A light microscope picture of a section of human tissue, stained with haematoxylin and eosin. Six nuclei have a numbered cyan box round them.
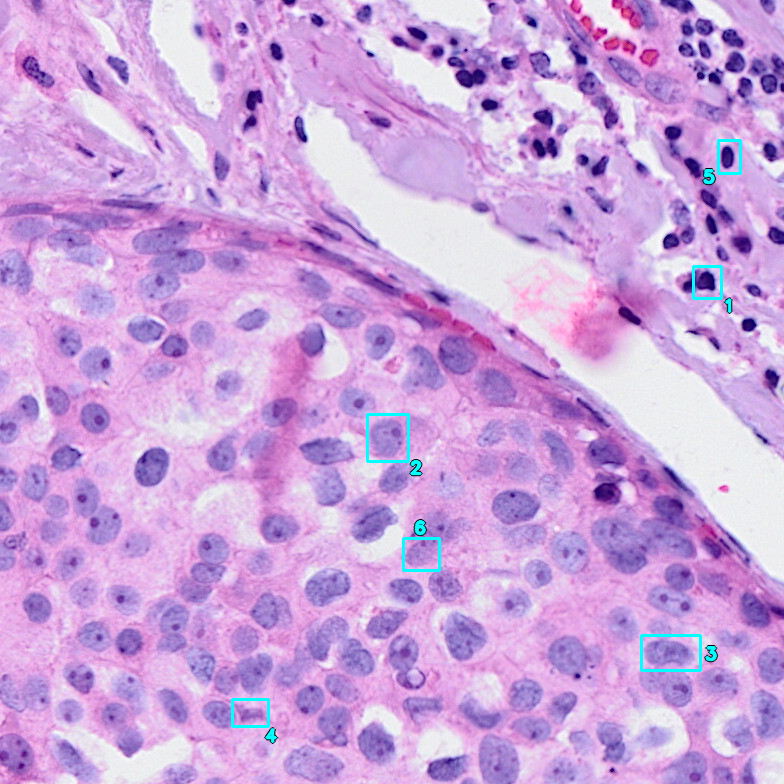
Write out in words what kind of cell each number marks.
Cell 1 is a lymphocyte, cell 2 is a carcinoma cell, cell 3 is a carcinoma cell, cell 4 is a carcinoma cell, cell 5 is a lymphocyte and cell 6 is a carcinoma cell.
